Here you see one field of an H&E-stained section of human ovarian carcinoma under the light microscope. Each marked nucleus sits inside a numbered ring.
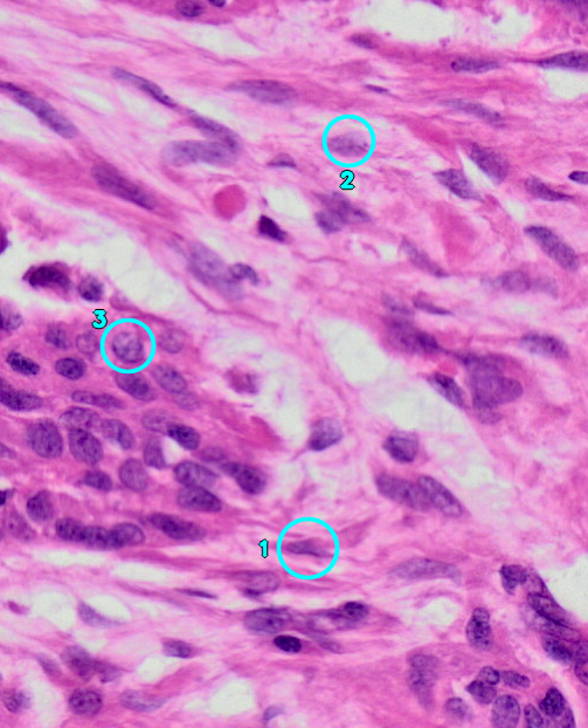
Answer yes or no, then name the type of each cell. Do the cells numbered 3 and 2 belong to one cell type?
No, that's wrong; cell 3 is a carcinoma cell and cell 2 is a fibroblast.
